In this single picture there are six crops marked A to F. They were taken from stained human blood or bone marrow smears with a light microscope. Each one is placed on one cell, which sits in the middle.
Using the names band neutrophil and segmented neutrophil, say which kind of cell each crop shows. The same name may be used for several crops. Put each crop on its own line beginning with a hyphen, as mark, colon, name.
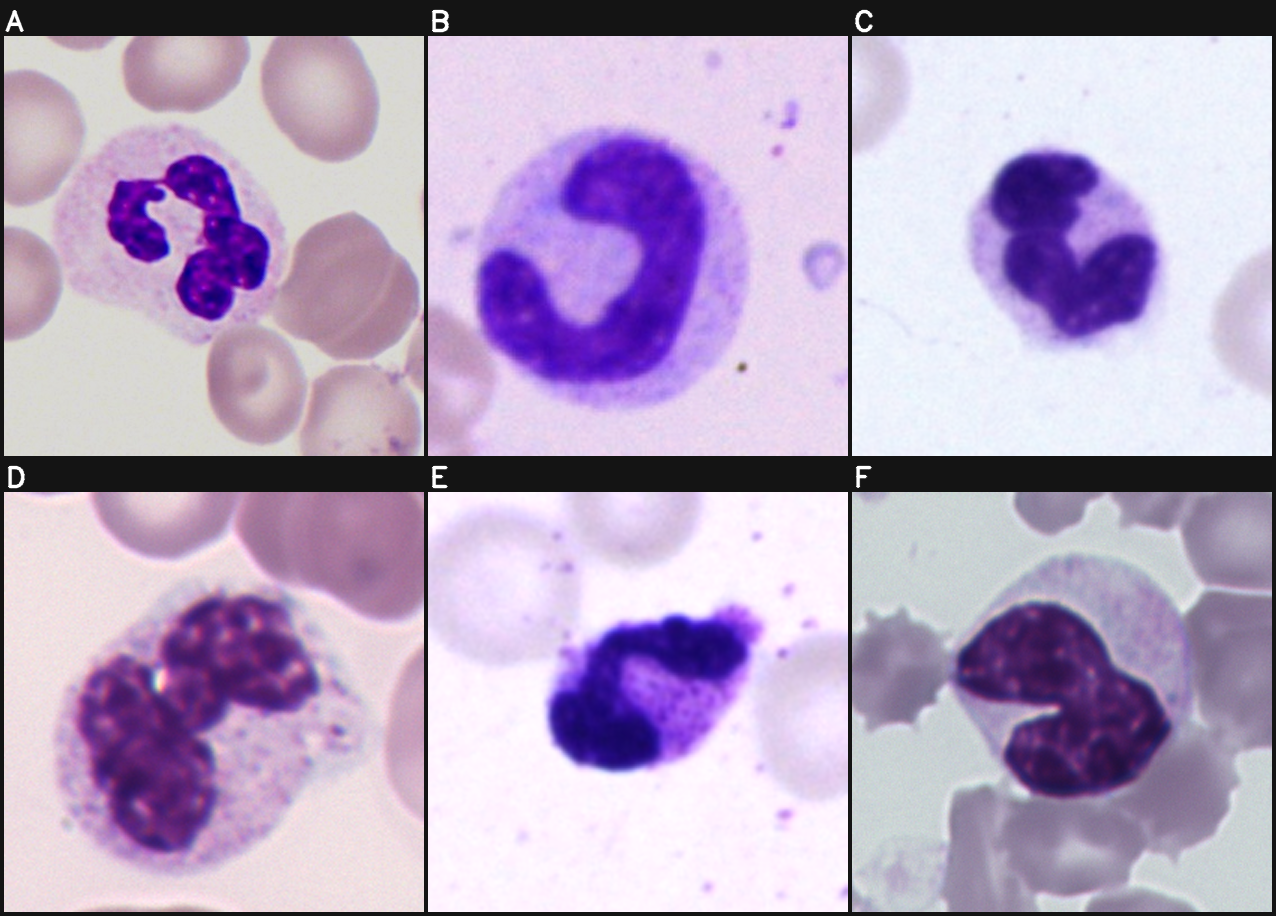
- A: segmented neutrophil
- B: band neutrophil
- C: segmented neutrophil
- D: segmented neutrophil
- E: segmented neutrophil
- F: band neutrophil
